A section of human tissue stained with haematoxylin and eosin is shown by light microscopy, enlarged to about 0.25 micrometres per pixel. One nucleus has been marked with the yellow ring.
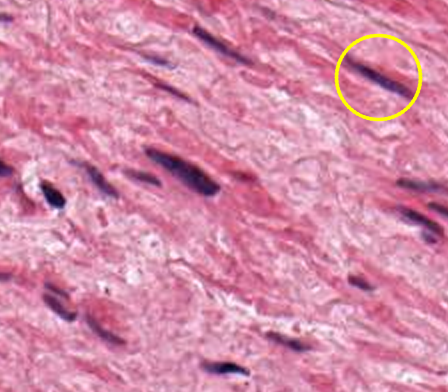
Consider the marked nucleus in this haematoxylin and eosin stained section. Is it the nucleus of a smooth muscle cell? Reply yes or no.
yes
